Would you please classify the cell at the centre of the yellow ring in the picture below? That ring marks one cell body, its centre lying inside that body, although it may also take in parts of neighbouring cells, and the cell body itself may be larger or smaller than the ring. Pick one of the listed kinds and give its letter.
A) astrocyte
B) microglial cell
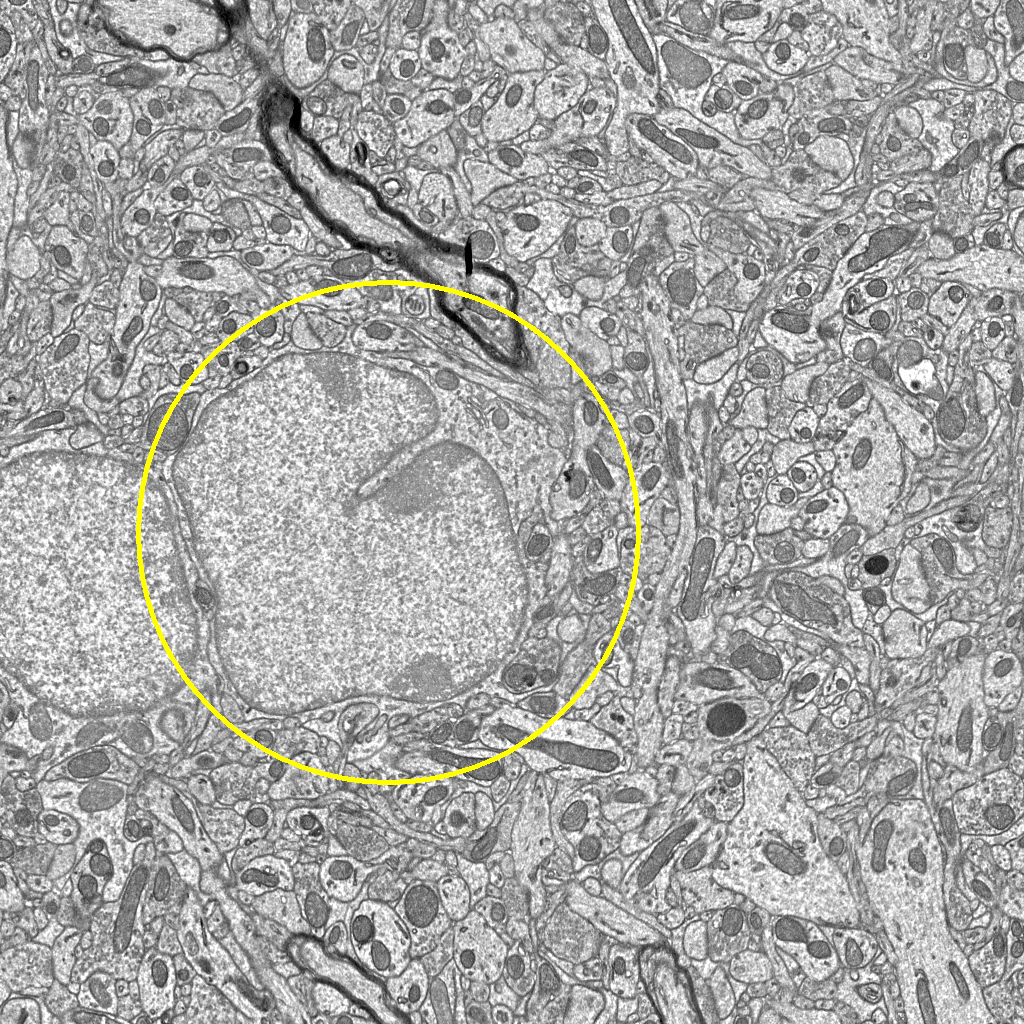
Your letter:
A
